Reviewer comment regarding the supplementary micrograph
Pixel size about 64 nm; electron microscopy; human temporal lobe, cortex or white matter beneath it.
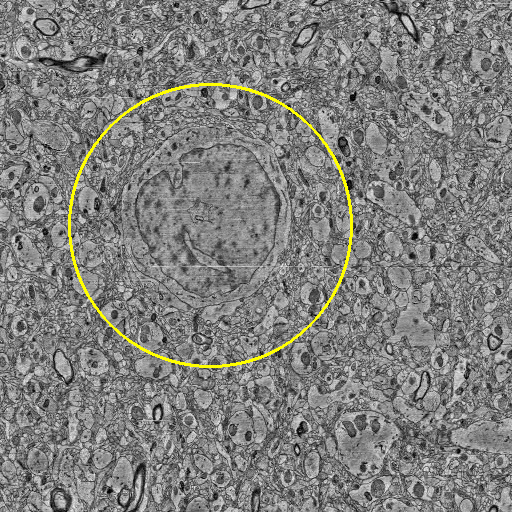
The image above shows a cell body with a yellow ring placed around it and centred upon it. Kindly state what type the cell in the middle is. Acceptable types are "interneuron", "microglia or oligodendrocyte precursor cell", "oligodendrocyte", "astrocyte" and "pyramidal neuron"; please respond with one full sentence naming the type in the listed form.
In the image above, the cell on which the yellow ring is centred is an interneuron.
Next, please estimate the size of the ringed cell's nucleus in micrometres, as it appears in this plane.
Approximately 10 micrometres across, in this plane.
